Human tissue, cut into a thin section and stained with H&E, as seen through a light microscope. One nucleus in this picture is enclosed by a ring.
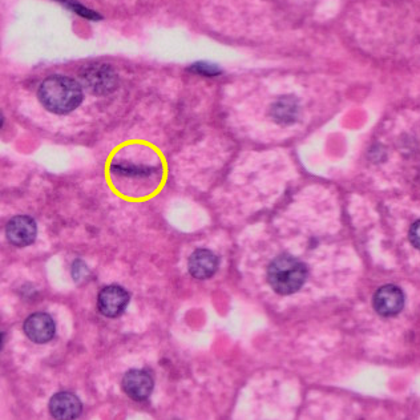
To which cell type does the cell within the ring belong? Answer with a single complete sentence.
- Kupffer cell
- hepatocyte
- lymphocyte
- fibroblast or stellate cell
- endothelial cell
As classified here, the cell within the ring is a fibroblast or stellate cell.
